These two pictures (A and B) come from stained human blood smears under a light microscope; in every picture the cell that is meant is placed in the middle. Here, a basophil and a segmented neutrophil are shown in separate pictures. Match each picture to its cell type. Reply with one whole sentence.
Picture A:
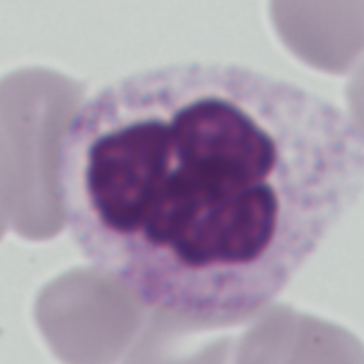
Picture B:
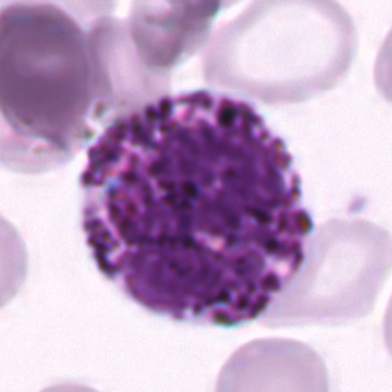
In picture A the cell is a segmented neutrophil; in picture B, a basophil.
